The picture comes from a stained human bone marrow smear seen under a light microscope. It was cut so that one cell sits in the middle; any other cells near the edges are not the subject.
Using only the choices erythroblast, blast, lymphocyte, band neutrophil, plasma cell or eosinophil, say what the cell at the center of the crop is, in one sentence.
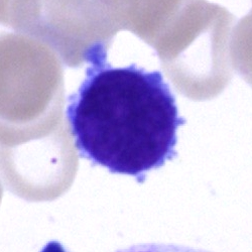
In the middle of this smear crop, the cell is a lymphocyte.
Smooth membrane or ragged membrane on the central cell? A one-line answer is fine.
Ragged or projecting, the border of this cell departs from a smooth contour.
